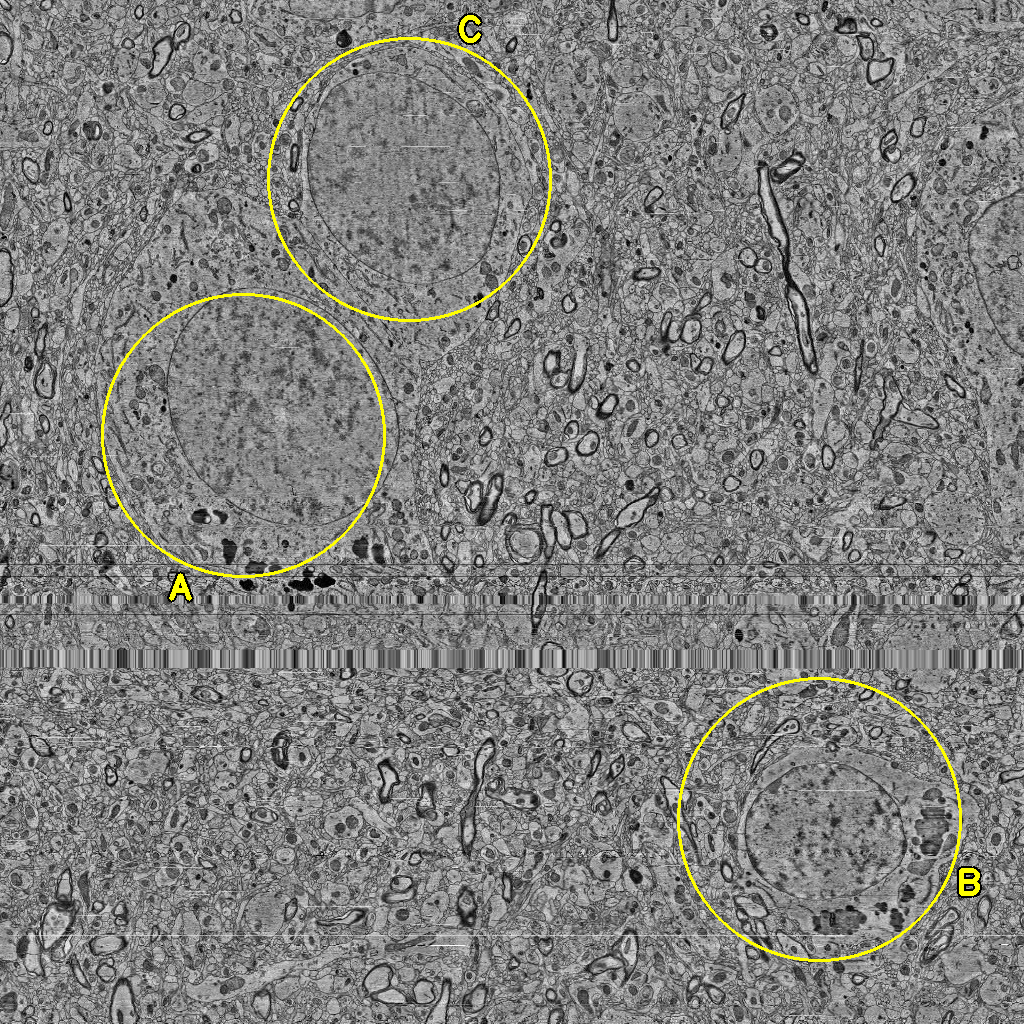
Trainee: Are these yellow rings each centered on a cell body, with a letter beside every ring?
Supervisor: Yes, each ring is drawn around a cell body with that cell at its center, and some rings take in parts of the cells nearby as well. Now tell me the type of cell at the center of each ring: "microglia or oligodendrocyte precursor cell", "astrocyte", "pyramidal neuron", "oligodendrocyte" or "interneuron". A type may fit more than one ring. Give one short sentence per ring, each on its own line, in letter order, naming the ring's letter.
Ring A has a pyramidal neuron at its center.
Ring B has an astrocyte at its center.
Ring C has a pyramidal neuron at its center.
